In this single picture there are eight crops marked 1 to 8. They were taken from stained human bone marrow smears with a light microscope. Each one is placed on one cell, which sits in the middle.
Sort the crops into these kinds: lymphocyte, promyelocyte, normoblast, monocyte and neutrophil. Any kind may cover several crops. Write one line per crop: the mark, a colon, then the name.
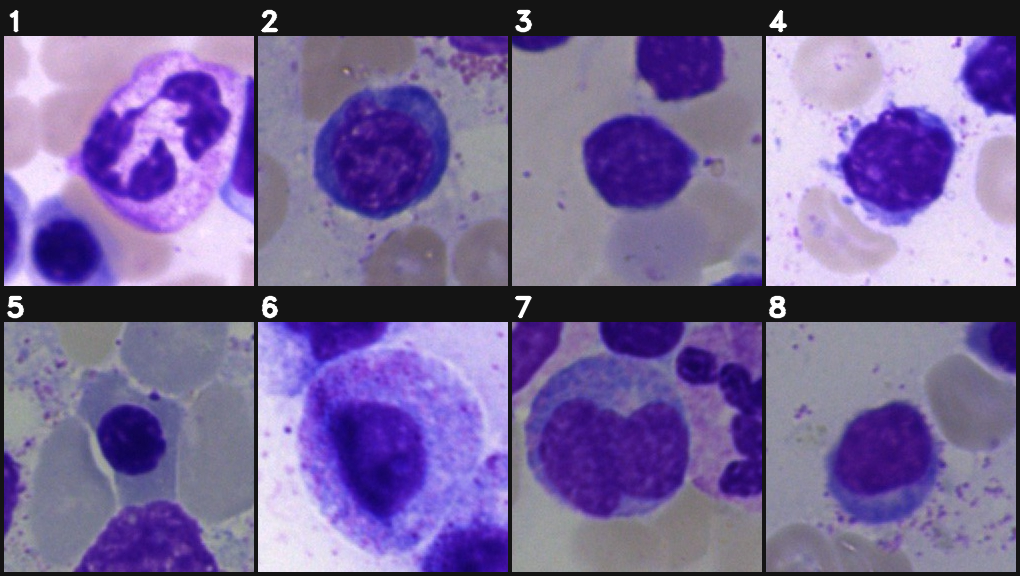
1: neutrophil
2: normoblast
3: lymphocyte
4: lymphocyte
5: normoblast
6: promyelocyte
7: monocyte
8: lymphocyte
